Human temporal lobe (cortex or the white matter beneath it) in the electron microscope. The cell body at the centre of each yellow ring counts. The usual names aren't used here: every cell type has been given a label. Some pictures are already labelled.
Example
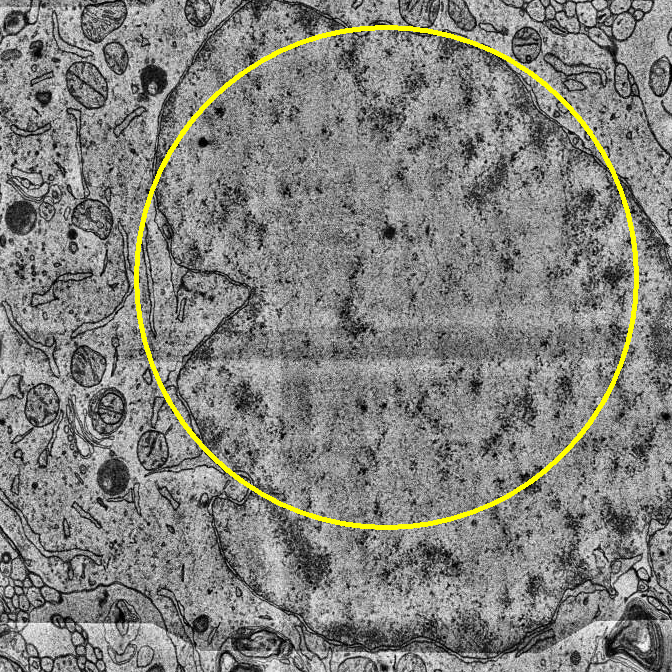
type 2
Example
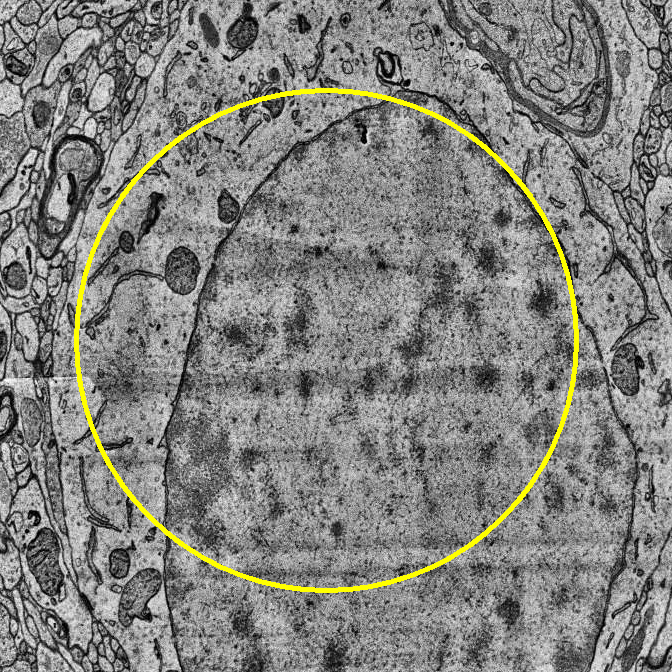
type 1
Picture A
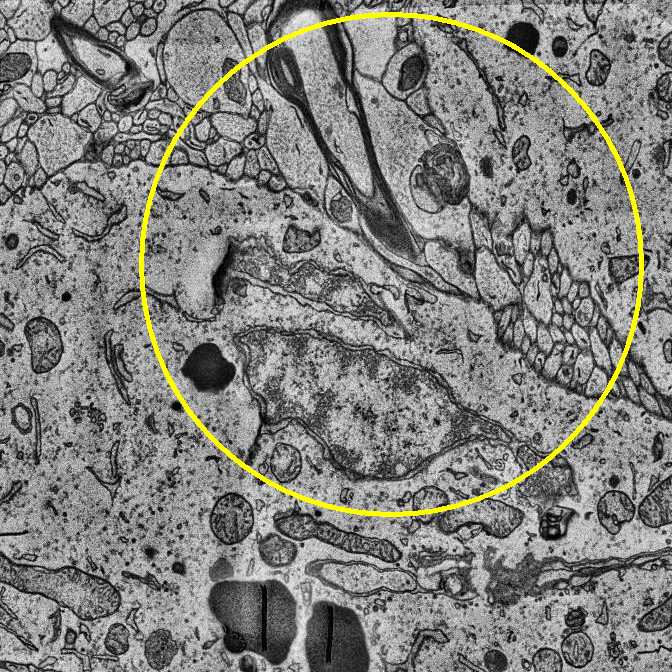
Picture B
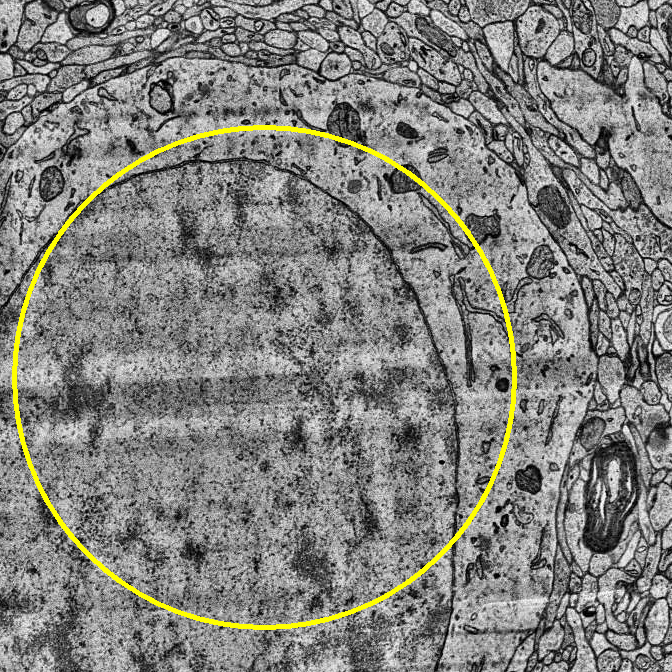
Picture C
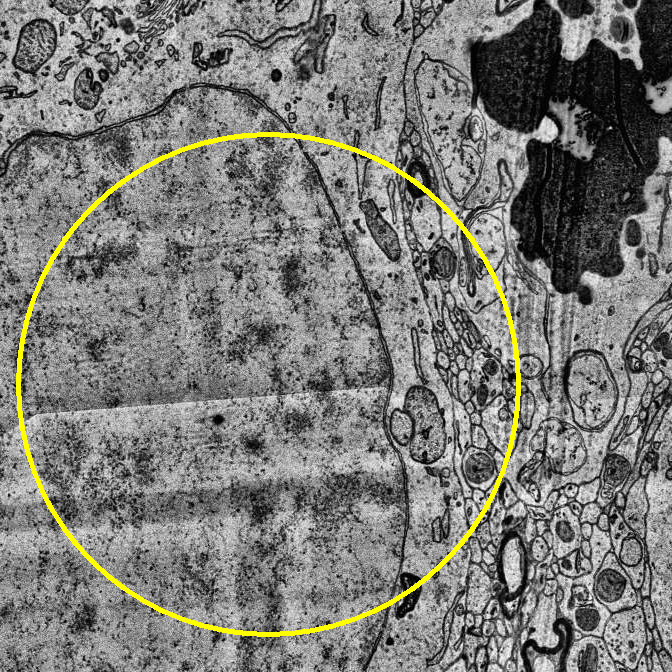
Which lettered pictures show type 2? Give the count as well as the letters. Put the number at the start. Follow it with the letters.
1: A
